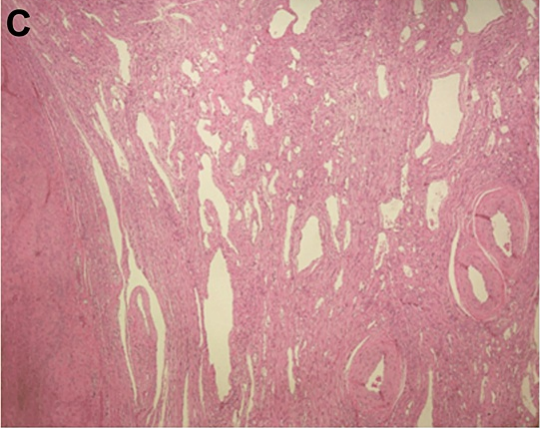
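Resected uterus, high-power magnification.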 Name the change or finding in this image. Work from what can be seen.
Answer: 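Many dilated, irregular, empty vascular spaces lie scattered through pink smooth muscle tissue. Some vessels have thick muscular walls arranged concentrically. The spaces vary widely in size and shape.
Ectatic vessels.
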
